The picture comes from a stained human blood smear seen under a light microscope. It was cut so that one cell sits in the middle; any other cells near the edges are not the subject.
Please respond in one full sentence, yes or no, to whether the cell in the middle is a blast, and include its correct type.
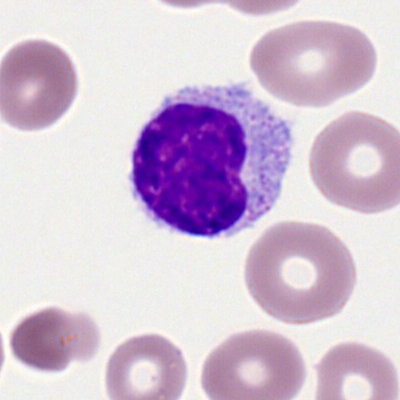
No, the cell at the center of this crop is a lymphocyte instead of a blast.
